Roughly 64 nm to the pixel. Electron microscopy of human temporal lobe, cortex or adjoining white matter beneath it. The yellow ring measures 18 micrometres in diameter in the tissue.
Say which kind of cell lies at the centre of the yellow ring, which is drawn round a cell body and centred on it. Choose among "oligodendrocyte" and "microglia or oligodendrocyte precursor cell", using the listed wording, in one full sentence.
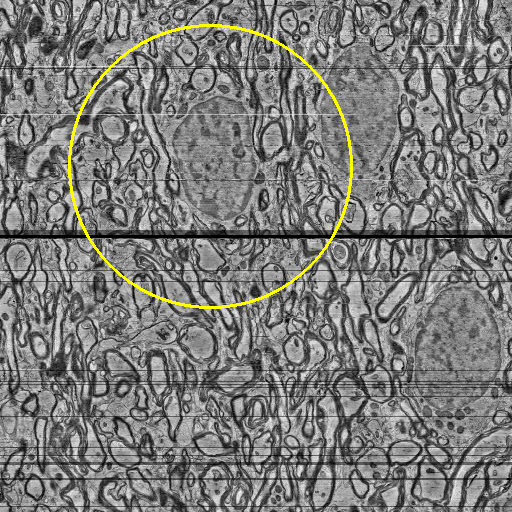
Going by the list, the cell at the yellow ring's centre is an oligodendrocyte.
